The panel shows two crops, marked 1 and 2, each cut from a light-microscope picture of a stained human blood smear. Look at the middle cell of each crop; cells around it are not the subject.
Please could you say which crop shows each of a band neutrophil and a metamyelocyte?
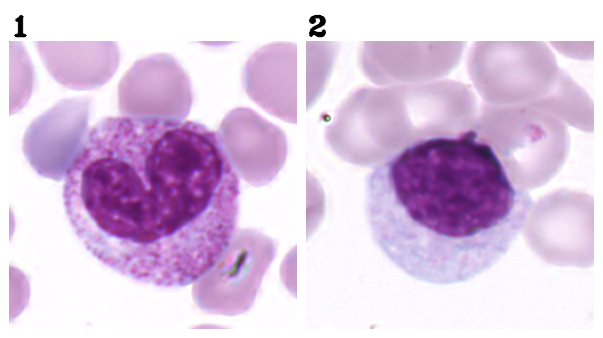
1: band neutrophil
2: metamyelocyte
